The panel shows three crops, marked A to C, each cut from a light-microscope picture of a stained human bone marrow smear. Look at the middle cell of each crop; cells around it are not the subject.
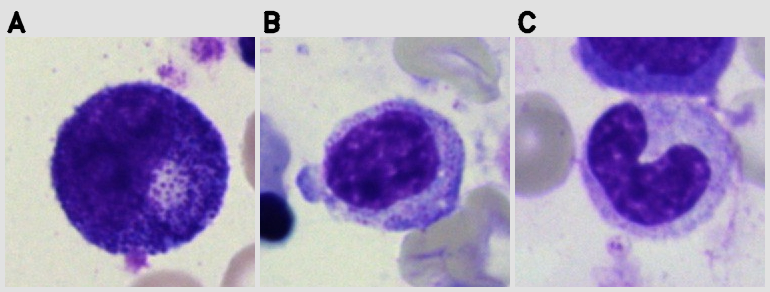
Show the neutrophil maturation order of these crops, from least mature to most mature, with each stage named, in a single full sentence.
Least to most mature, the crops line up as crop A (a promyelocyte), crop B (a myelocyte) and crop C (a band neutrophil).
